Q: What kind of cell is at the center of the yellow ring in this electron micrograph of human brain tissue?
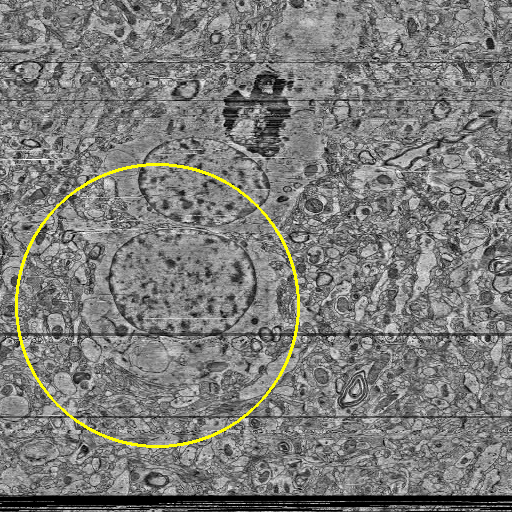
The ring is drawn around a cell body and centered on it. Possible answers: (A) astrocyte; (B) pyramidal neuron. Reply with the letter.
A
